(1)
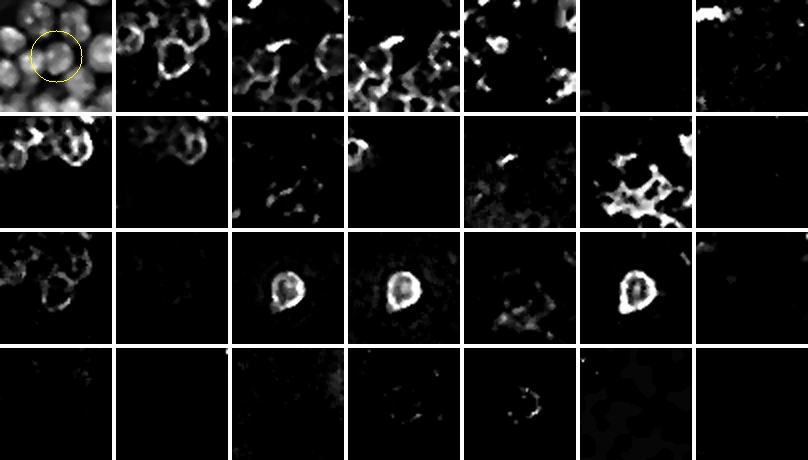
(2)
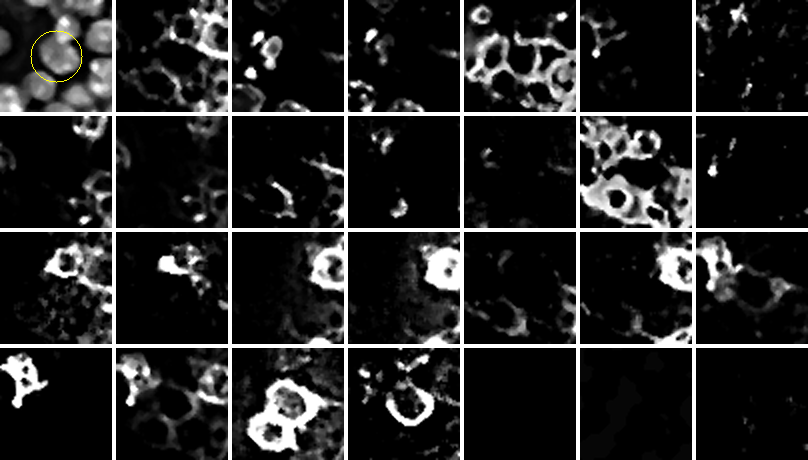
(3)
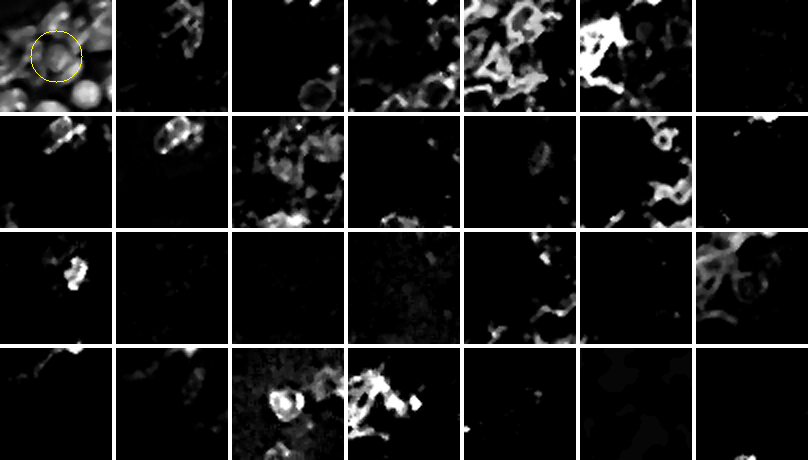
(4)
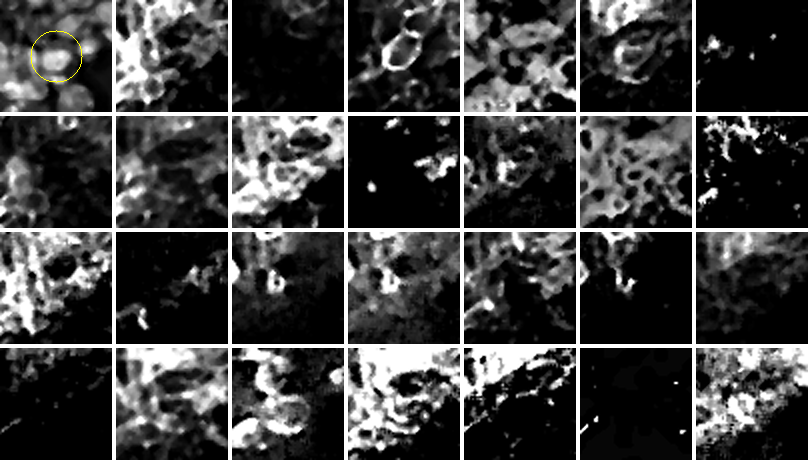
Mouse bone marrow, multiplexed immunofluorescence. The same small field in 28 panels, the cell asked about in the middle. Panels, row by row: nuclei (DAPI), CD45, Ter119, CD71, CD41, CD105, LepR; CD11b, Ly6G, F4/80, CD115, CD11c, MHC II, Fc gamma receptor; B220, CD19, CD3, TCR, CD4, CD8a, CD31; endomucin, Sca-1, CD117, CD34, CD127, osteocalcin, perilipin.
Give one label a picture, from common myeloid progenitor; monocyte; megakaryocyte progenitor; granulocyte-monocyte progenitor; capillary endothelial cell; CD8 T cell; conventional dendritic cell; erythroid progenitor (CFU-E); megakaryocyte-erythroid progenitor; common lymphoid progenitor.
1. CD8 T cell
2. common myeloid progenitor
3. common myeloid progenitor
4. erythroid progenitor (CFU-E)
